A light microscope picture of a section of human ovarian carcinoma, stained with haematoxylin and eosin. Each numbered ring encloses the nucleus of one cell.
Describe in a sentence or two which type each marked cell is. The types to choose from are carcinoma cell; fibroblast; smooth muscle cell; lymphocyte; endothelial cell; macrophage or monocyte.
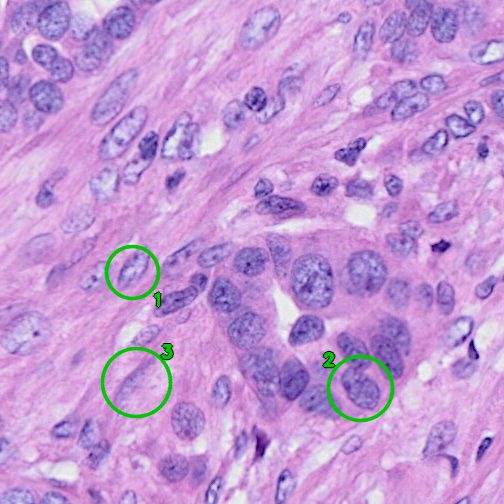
Cell 1 is a fibroblast, cell 2 is a carcinoma cell and cell 3 is a fibroblast.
